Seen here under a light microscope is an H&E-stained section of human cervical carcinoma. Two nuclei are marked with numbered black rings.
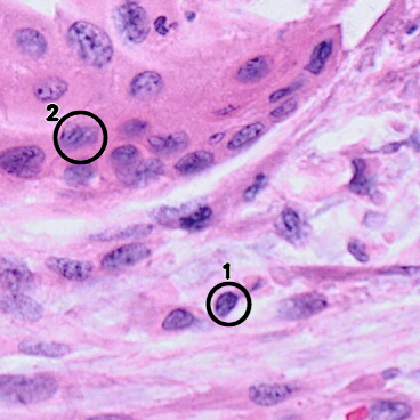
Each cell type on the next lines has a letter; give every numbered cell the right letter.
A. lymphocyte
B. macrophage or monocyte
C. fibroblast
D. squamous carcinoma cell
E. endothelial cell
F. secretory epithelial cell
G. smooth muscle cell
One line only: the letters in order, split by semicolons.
A; D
